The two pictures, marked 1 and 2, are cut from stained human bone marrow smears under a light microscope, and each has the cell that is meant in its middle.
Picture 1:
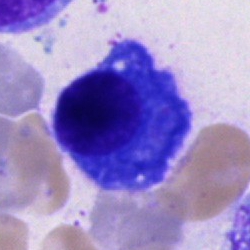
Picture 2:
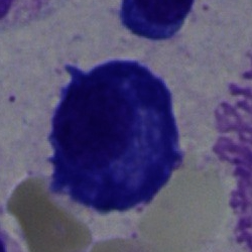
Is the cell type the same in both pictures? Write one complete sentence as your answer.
Yes; the cells in both pictures are plasma cells.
